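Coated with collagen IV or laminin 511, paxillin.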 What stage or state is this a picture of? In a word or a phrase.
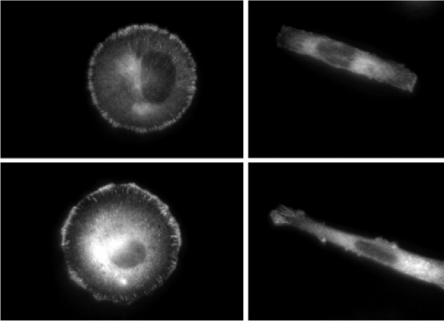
round and elongated cell shapes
